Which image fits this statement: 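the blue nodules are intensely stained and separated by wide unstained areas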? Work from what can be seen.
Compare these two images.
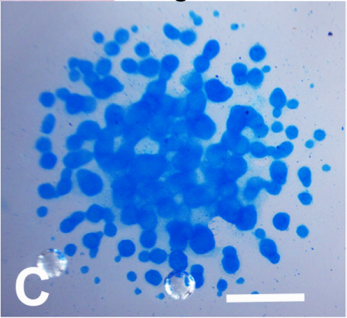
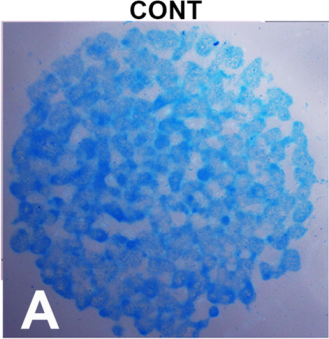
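The first image. Second image: paler blue, tightly packed patches with a bluish background and little unstained space between them.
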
